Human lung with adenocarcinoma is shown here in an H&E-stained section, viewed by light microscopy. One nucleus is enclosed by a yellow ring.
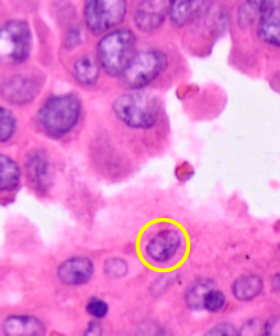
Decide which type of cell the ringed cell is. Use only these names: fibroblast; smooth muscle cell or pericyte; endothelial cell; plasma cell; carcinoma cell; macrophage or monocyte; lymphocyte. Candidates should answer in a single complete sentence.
It is as a macrophage or monocyte that the ringed cell is recorded.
